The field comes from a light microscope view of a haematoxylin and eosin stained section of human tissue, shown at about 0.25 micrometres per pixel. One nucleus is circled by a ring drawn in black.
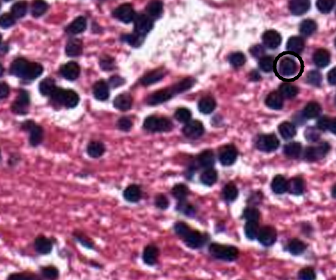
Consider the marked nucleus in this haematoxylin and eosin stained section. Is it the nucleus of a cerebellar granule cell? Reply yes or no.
yes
